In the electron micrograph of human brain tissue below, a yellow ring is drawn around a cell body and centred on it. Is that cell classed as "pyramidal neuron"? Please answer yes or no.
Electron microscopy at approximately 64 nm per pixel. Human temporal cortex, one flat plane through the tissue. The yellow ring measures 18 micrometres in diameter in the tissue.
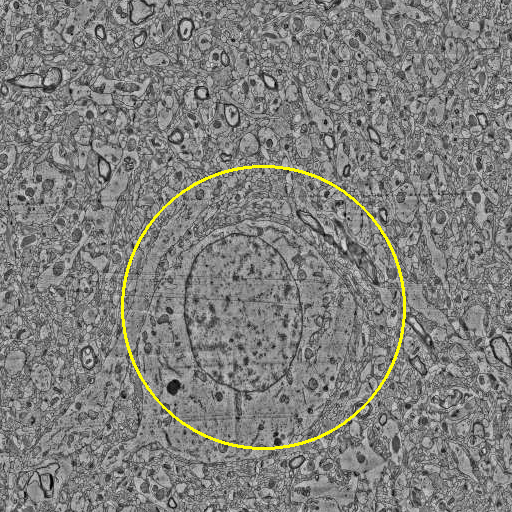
yes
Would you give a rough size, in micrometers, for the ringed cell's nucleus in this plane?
In this plane the nucleus is about 10 micrometres by 8.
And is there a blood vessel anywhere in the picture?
No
